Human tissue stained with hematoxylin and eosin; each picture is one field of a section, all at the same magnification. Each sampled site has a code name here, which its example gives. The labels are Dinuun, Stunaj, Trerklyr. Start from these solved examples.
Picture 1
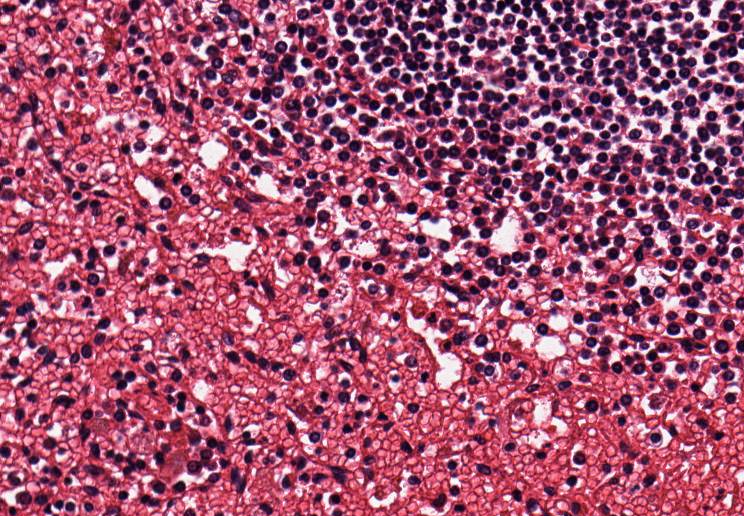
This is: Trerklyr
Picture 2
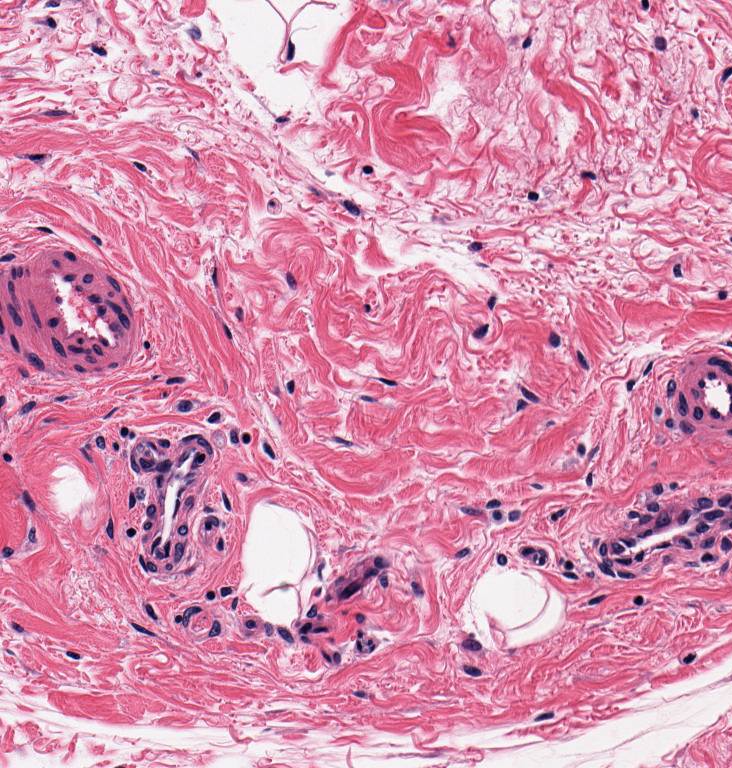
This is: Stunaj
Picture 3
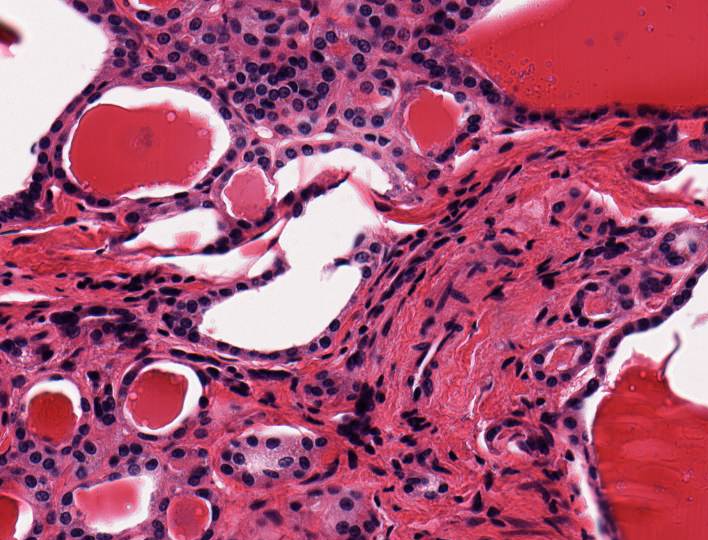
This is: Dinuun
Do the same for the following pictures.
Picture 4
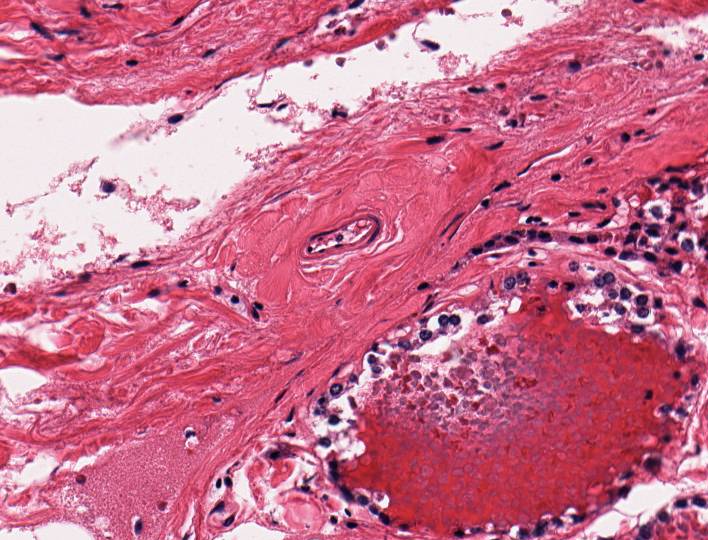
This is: Dinuun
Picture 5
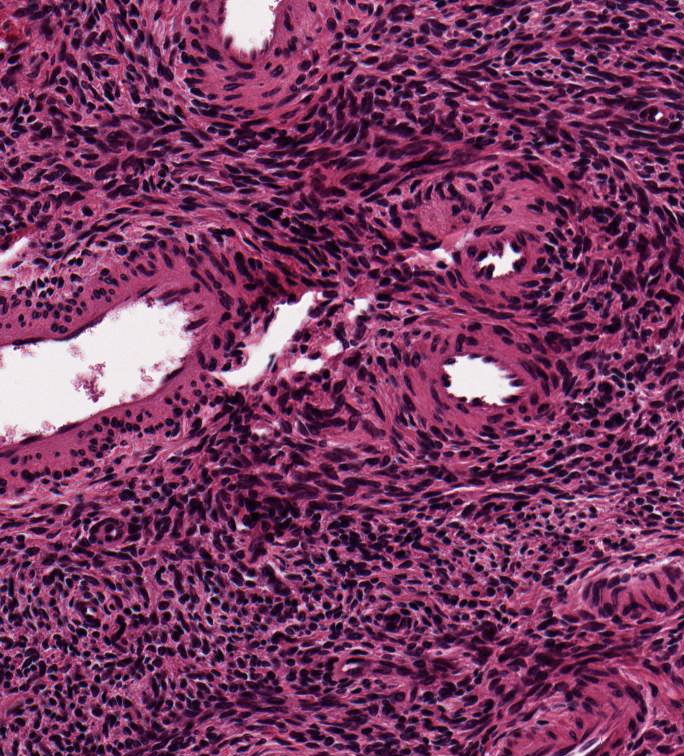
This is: Stunaj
